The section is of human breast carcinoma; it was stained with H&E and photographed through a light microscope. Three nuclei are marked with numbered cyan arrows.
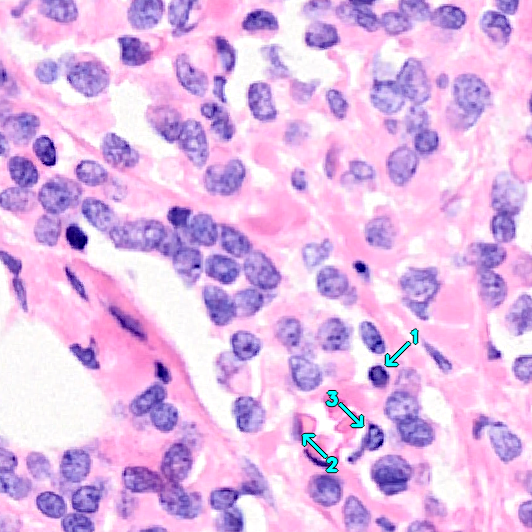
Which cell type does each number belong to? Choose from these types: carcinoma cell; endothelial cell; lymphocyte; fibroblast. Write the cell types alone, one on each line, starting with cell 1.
lymphocyte
endothelial cell
endothelial cell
